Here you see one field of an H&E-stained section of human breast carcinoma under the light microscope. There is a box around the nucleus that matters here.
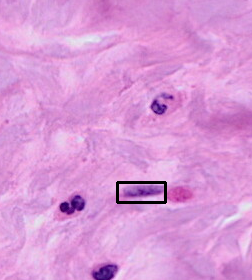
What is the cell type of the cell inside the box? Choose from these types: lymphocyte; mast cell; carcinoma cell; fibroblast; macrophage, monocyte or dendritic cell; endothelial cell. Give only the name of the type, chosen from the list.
fibroblast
